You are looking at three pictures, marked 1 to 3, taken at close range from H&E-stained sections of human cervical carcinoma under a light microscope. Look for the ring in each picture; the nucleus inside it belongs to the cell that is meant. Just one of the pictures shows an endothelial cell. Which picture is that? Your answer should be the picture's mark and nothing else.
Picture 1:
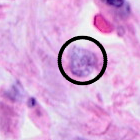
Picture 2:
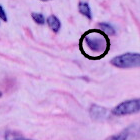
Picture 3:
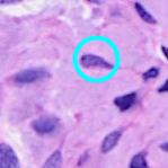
1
